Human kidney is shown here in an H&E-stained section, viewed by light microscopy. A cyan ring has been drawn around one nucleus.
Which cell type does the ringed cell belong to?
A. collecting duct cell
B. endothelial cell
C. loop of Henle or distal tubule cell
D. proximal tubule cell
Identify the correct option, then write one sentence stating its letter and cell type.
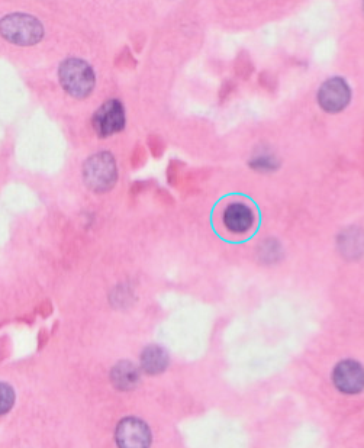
Best answer: option D, with the ringed cell being a proximal tubule cell.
